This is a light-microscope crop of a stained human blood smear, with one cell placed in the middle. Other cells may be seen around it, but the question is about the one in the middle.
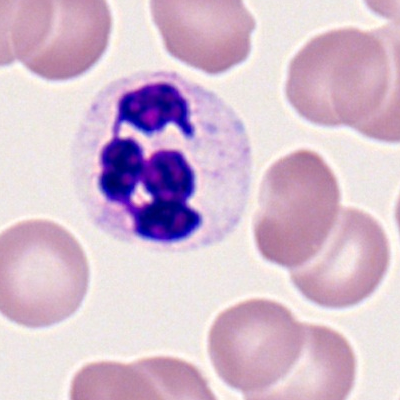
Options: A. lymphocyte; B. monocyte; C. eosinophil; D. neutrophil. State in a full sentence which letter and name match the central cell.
Since the cell in the centre is a neutrophil, the correct option is D.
